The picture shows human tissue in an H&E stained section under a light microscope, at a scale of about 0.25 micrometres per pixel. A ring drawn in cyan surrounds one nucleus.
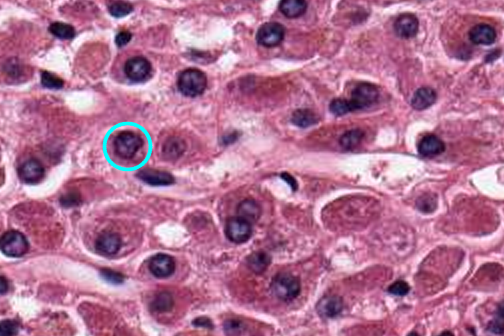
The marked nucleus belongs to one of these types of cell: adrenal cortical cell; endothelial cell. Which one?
adrenal cortical cell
